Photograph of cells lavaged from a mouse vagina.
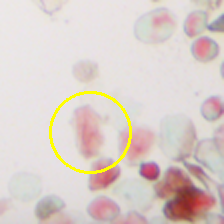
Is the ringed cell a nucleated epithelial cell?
No, it is a cornified epithelial cell.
